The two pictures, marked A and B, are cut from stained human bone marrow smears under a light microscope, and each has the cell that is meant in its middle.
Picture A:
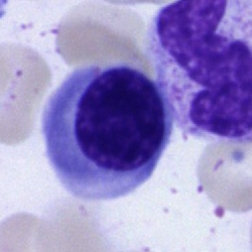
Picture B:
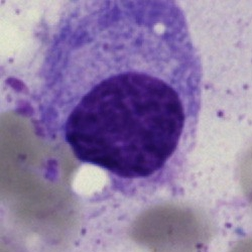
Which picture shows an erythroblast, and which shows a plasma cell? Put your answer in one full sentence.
Picture B shows a plasma cell, while picture A shows an erythroblast.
